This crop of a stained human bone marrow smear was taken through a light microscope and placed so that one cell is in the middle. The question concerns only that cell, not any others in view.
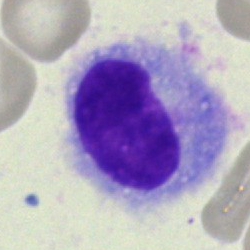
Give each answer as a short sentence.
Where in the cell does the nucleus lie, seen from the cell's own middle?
The nucleus is pushed toward the left of the cell.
